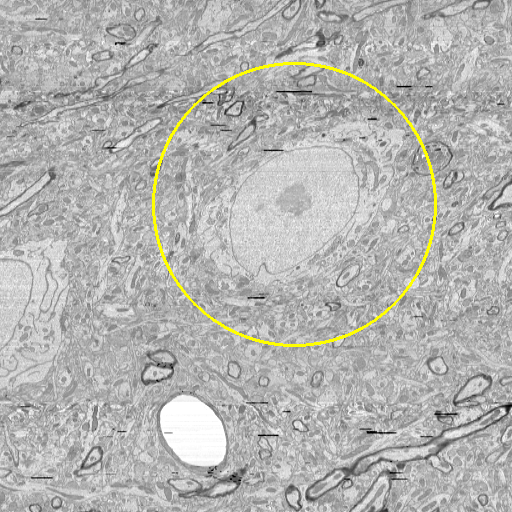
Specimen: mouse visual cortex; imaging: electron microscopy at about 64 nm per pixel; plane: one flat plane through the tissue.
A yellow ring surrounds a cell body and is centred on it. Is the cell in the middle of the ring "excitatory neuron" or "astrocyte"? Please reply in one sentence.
The ring is centred on an excitatory neuron.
